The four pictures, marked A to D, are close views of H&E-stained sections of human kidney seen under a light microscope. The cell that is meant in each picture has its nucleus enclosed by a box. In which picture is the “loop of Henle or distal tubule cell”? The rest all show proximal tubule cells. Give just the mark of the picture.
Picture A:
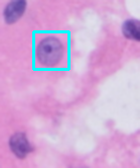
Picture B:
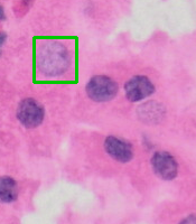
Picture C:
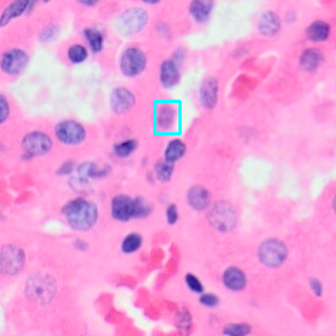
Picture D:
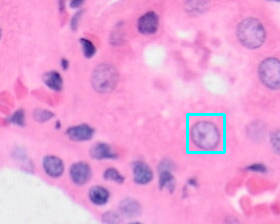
C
